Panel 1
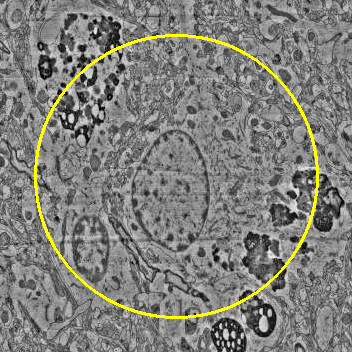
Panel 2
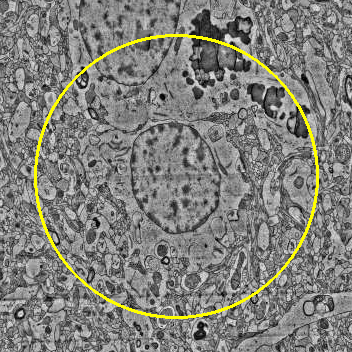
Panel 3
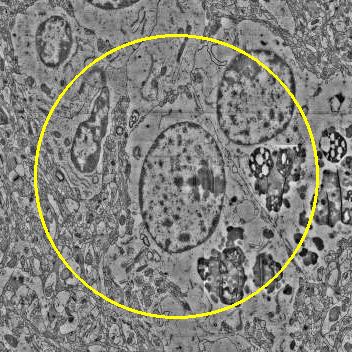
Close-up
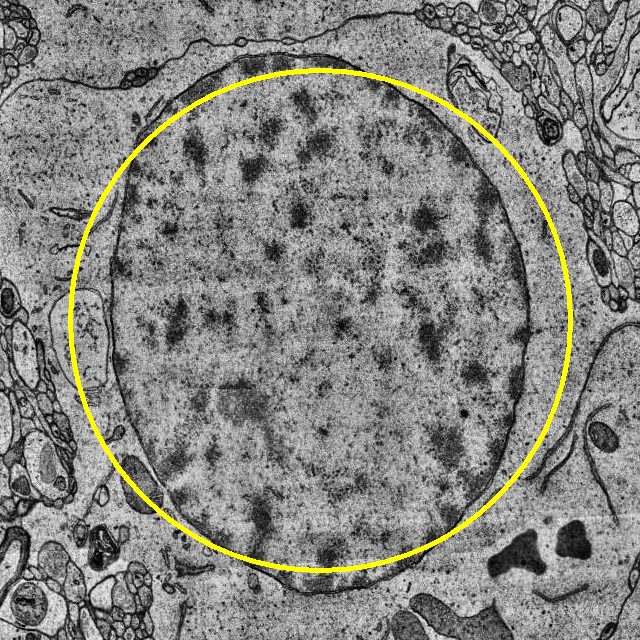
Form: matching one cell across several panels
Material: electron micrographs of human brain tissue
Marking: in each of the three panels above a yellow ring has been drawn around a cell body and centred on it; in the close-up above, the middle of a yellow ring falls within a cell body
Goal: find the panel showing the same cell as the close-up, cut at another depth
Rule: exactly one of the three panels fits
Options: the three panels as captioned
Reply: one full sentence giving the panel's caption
The cell featured in the close-up is found in Panel 2.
